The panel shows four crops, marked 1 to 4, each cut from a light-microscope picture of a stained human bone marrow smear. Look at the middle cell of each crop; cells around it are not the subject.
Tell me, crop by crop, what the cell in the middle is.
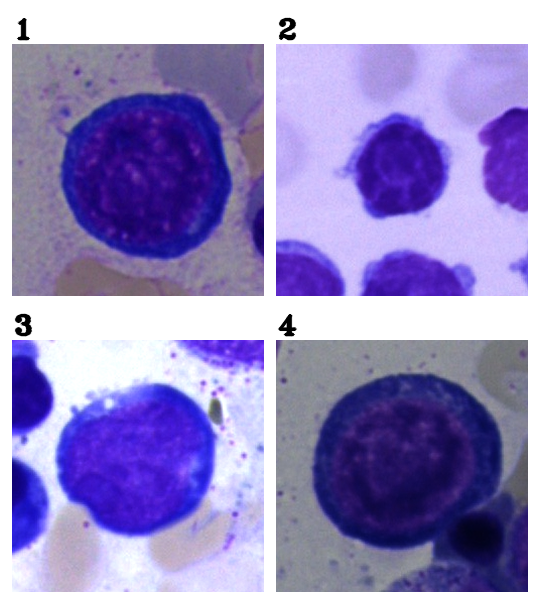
1: proerythroblast
2: lymphocyte
3: proerythroblast
4: proerythroblast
